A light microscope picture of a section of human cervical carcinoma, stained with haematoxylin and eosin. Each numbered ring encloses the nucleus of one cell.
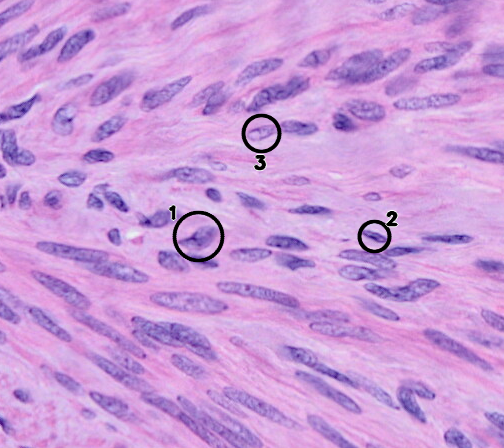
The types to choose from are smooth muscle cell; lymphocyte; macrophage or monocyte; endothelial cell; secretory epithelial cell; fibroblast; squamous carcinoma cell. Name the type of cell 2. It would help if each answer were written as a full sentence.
Nucleus 2 in this section belongs to a fibroblast.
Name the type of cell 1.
Looking at the numbered marks, cell 1 is a fibroblast.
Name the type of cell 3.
In this section, number 3 marks a smooth muscle cell.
